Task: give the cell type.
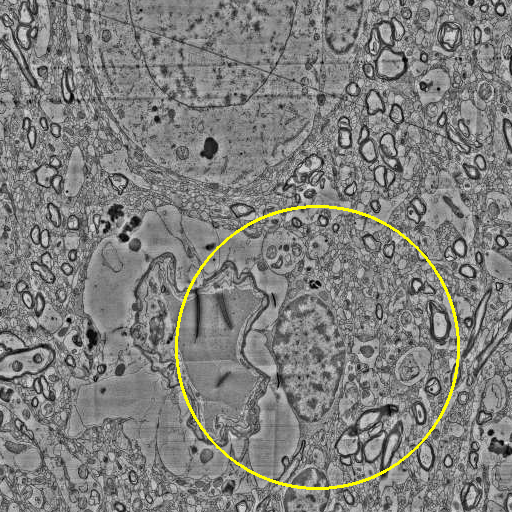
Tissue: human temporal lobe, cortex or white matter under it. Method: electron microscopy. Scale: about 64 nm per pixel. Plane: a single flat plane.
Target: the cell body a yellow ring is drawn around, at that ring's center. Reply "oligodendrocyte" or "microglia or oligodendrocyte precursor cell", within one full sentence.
In this picture, the cell whose body lies at the ring's center is an oligodendrocyte.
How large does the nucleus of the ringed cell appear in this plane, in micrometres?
Approximately 8 x 5 micrometres in this plane.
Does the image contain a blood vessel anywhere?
Yes.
